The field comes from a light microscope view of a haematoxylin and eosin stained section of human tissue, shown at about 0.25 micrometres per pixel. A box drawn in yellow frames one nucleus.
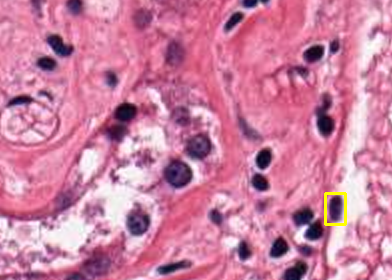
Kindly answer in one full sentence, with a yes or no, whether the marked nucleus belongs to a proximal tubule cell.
No, the marked nucleus is attributed to a supporting cell, not to a proximal tubule cell.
